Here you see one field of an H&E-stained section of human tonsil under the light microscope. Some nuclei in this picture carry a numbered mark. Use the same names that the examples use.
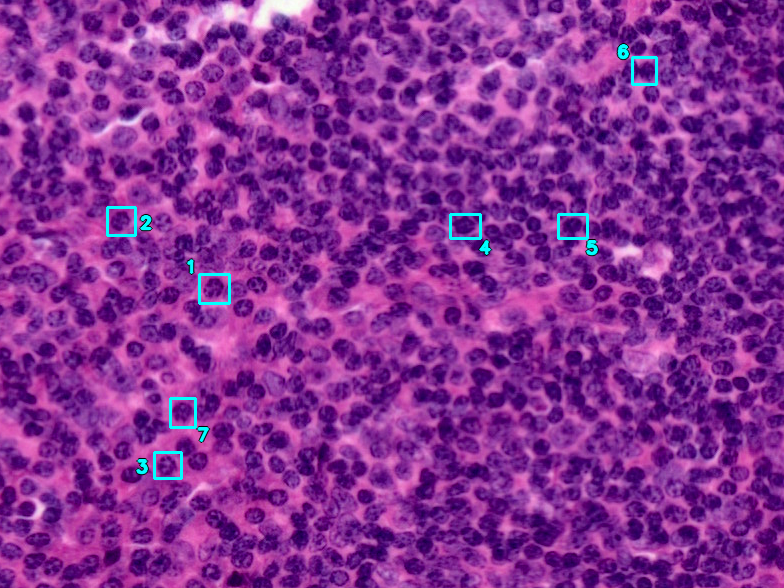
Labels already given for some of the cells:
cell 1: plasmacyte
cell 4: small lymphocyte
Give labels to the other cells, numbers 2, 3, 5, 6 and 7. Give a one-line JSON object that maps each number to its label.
{"2": "plasmacyte", "3": "plasmacyte", "5": "small lymphocyte", "6": "small lymphocyte", "7": "plasmacyte"}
